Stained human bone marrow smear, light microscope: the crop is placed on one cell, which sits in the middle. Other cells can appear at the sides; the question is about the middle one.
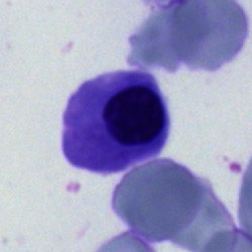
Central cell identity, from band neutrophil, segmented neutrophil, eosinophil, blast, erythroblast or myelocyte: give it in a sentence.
The central cell in this smear crop is an erythroblast.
